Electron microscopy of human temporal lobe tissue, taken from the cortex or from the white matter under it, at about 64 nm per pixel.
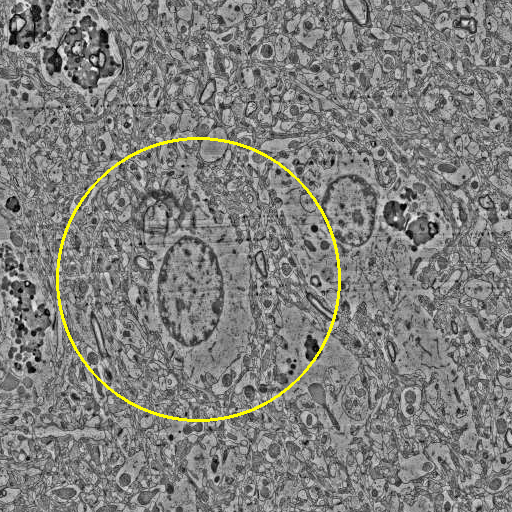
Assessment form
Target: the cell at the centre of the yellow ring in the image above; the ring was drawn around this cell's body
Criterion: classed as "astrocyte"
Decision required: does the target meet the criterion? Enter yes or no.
yes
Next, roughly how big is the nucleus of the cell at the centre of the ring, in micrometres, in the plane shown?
The nucleus appears roughly 7 by 4 micrometres in this plane.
